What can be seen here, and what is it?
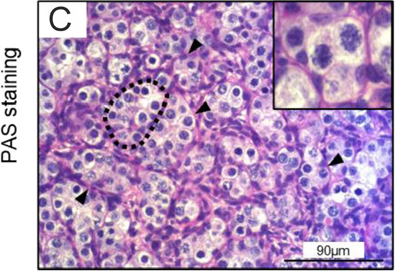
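Thin magenta lines outline rounded clusters of large pale germ cells with round purple-blue nuclei. Between the cords lie densely packed stromal cells with darker, smaller nuclei, and the magenta staining is most intense along the cord borders. The cords appear as pale compartments separated by darker stromal bands.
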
